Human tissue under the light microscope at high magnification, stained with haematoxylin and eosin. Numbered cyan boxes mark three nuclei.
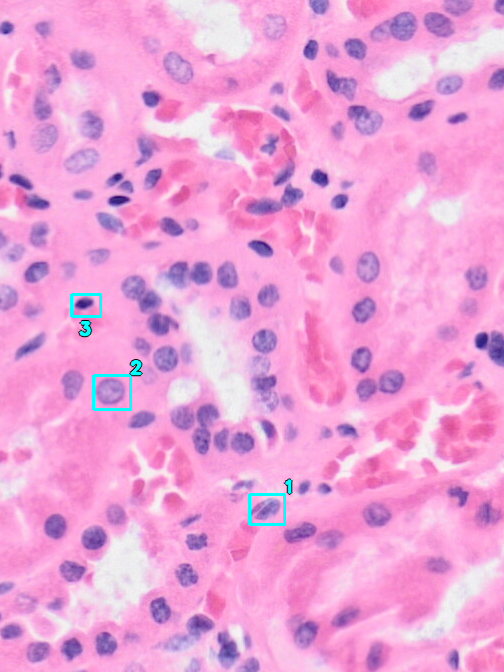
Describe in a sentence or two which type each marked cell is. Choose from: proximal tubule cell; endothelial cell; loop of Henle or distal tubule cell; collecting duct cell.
Cell 1 is an endothelial cell, cell 2 is a proximal tubule cell and cell 3 is an endothelial cell.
